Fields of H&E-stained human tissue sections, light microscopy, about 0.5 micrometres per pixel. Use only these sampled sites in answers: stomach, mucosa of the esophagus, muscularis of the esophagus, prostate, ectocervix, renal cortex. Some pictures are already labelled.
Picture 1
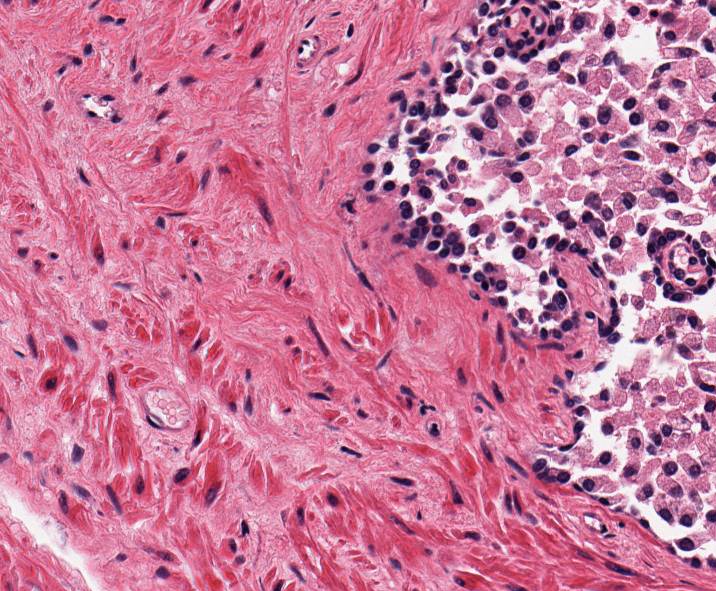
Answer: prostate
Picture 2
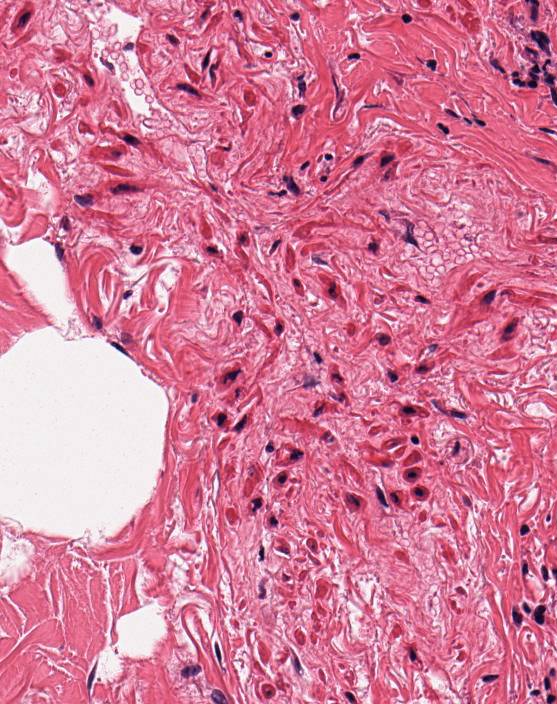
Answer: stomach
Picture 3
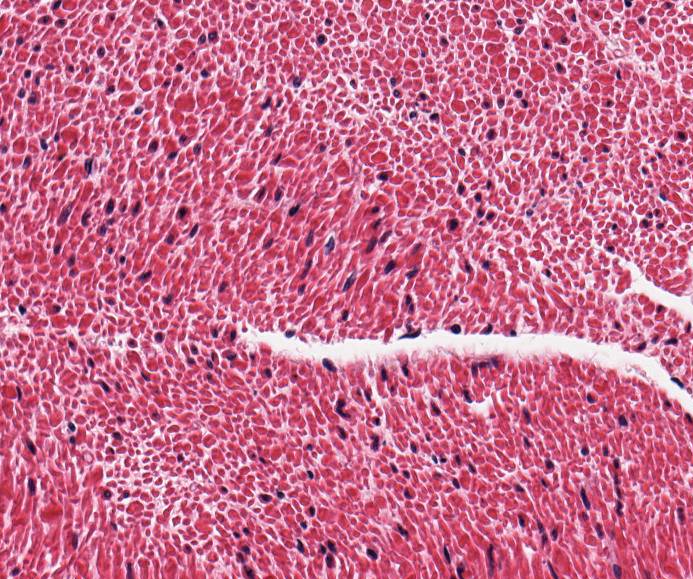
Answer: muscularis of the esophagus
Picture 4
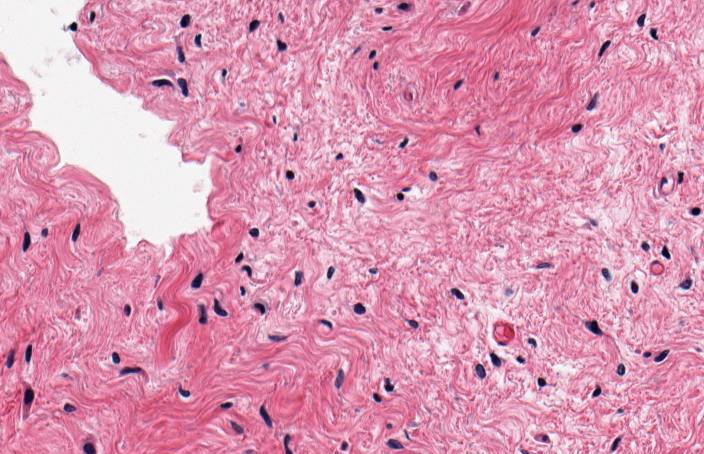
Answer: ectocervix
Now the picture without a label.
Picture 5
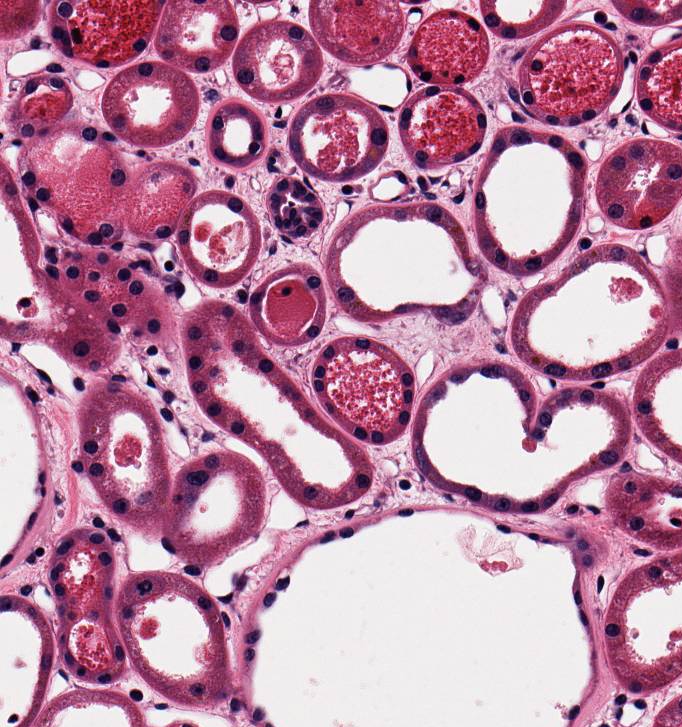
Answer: renal cortex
